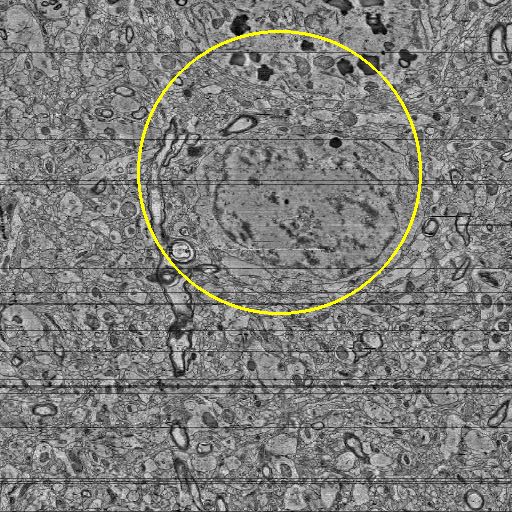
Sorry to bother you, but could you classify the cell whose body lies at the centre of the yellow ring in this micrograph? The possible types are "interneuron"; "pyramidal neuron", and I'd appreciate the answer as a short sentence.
The ringed cell body is that of an interneuron.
